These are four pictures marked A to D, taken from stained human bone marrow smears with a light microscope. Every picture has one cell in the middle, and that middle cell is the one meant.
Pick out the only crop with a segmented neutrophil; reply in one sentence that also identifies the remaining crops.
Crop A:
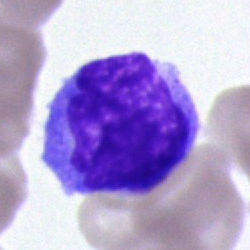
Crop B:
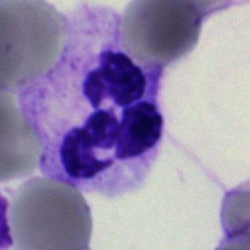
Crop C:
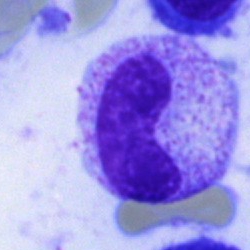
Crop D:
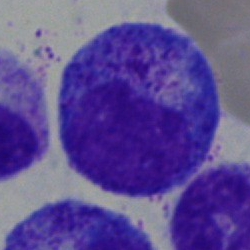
Sorting them out, crop B is a segmented neutrophil, while crop A is a monocyte, crop C is a band neutrophil and crop D is a promyelocyte.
